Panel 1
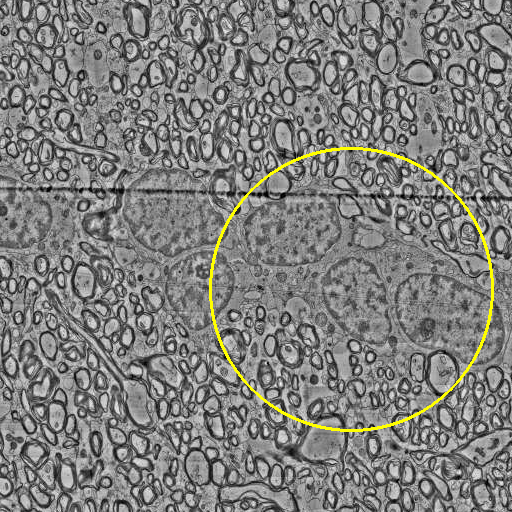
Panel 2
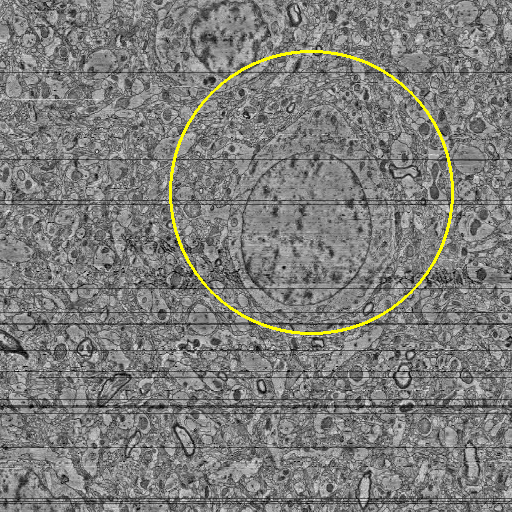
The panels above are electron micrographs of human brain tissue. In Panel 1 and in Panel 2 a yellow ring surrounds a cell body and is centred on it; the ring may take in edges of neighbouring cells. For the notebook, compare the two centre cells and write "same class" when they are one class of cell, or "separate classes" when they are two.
separate classes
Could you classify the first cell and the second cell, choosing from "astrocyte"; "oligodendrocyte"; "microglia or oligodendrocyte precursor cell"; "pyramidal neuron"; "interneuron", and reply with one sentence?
The second cell is a pyramidal neuron, while the first is an oligodendrocyte.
